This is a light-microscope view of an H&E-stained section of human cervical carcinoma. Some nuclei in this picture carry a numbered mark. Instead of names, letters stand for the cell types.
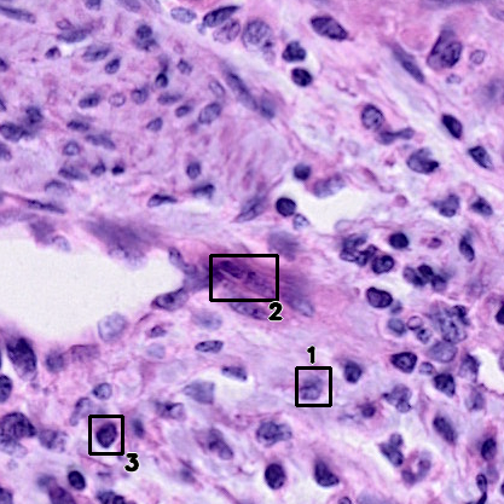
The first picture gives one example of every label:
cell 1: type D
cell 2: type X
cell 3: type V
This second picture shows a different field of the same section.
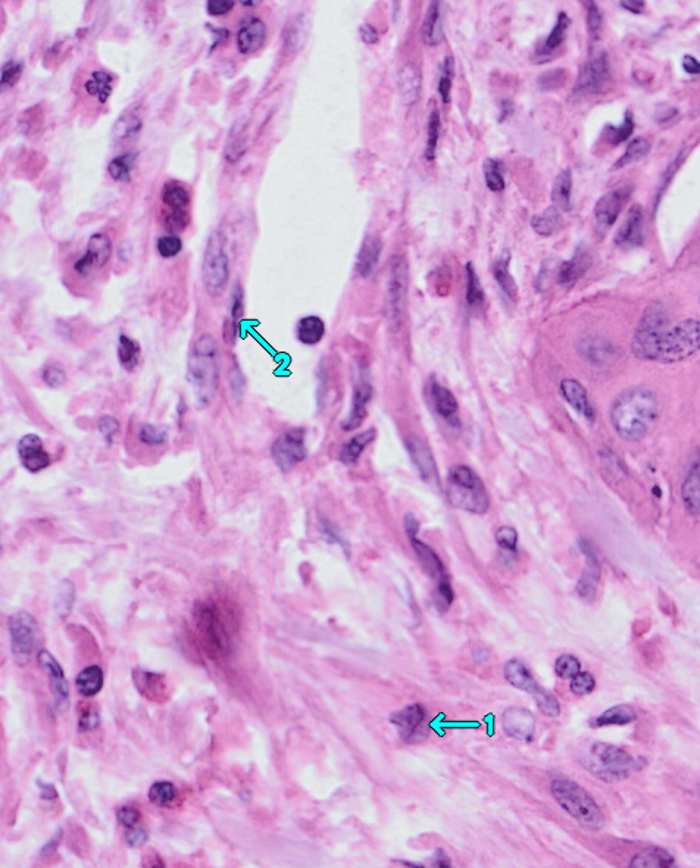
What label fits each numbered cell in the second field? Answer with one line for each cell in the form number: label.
1: type D
2: type X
